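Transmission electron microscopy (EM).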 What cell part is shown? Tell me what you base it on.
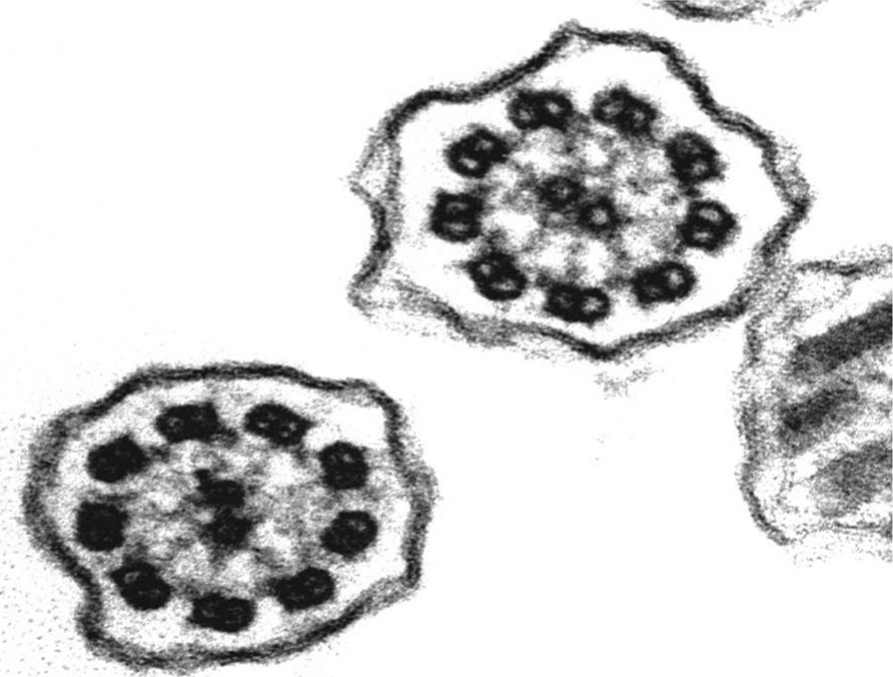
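Two round profiles bounded by a membrane are cut in cross-section. Each holds a ring of nine dark paired microtubule profiles. A central pair of microtubule profiles lies inside each ring. The answer: cilia.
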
